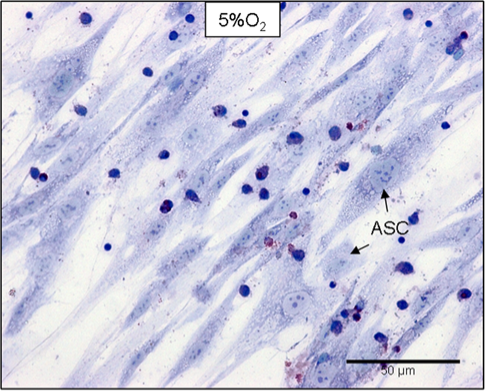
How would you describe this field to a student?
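The flat cells have pale blue cytoplasm and oval, pale nuclei with fine chromatin and small nucleoli, and they run diagonally in loose parallel arrays. The attached cells are far smaller, round, and have compact deep blue or purple nuclei. Several of them show pinkish-red cytoplasmic granules, and there is some fine reddish granular debris around a few. The small cells lie scattered singly or in small clusters over the stromal layer.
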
